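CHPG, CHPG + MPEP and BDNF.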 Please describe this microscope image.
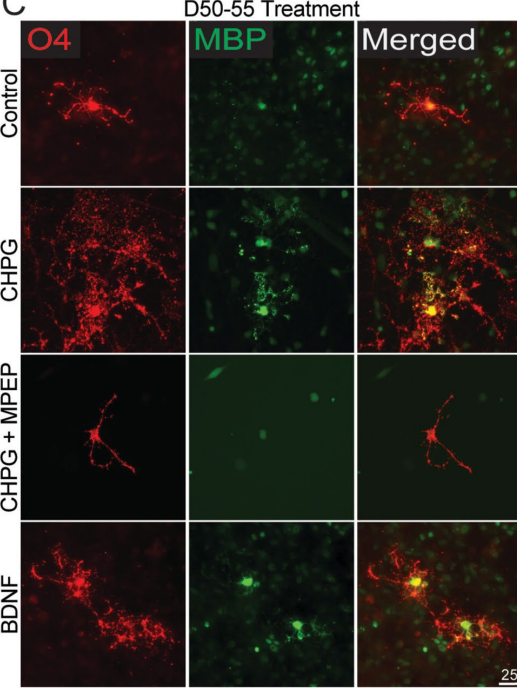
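The red cells have compact cell bodies and numerous thin processes, which in some rows form a dense, web-like meshwork and in others are only a few long, sparsely branched extensions. Bright green cell bodies, some with dotted green along their processes, stand out against fainter green background profiles. Where red and green overlap, the merged images show yellow cell bodies.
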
